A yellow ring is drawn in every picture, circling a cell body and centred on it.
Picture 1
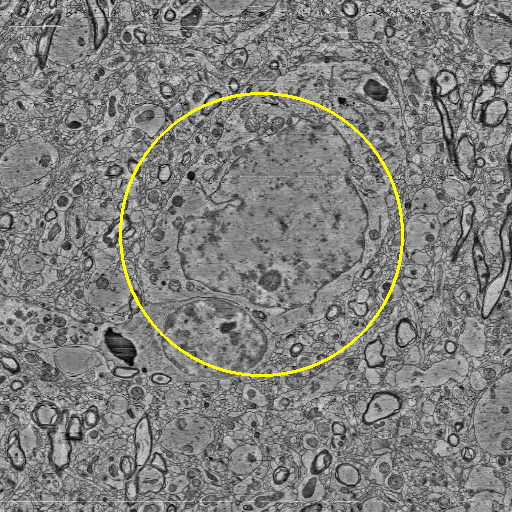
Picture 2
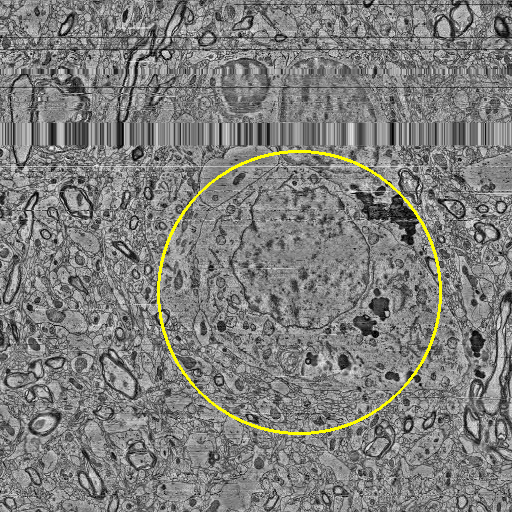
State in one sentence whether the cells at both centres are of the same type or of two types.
The cells at the two ring centres, one per picture, are of the same type.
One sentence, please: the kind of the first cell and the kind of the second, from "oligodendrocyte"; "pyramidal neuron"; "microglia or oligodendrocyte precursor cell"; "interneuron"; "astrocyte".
The cell in the first picture is an interneuron, and so is the one in the second.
